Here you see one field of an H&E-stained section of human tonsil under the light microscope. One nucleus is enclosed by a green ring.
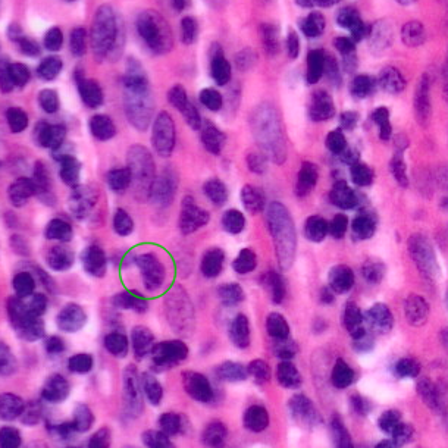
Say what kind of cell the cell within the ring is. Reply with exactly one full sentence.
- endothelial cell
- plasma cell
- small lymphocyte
In terms of identity, the cell within the ring is an endothelial cell.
